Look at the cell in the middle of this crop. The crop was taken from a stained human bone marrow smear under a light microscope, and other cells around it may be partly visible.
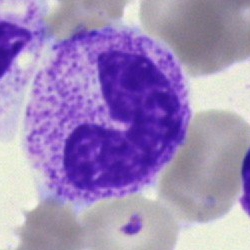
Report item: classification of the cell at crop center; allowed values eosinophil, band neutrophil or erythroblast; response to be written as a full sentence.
Here the cell in the middle is a band neutrophil.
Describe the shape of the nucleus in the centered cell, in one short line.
The cell carries one compact nucleus shaped round, oval or like a kidney.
